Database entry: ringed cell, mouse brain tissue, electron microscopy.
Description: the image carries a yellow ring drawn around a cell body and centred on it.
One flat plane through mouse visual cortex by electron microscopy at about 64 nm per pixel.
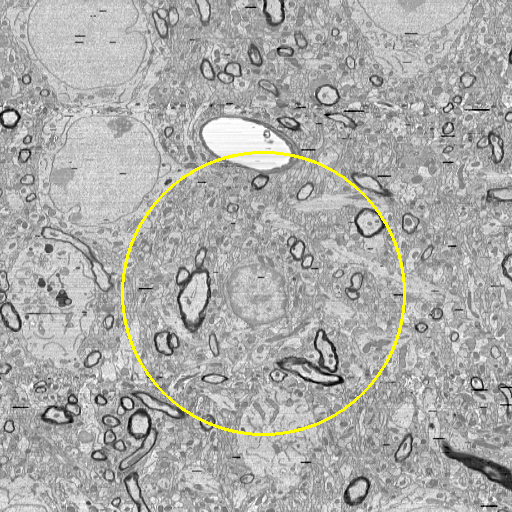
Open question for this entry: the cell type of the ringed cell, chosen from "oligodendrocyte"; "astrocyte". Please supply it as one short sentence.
The ringed cell is an oligodendrocyte.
